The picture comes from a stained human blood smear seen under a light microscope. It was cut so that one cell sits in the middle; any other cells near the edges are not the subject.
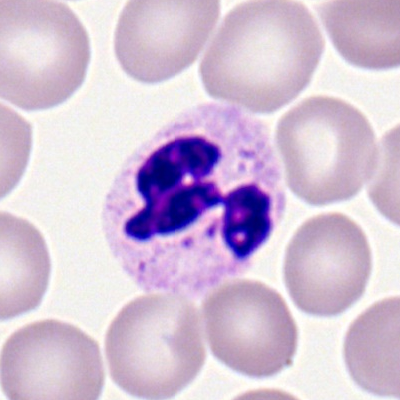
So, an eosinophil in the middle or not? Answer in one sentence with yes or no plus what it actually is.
No, the middle one is a segmented neutrophil rather than an eosinophil.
